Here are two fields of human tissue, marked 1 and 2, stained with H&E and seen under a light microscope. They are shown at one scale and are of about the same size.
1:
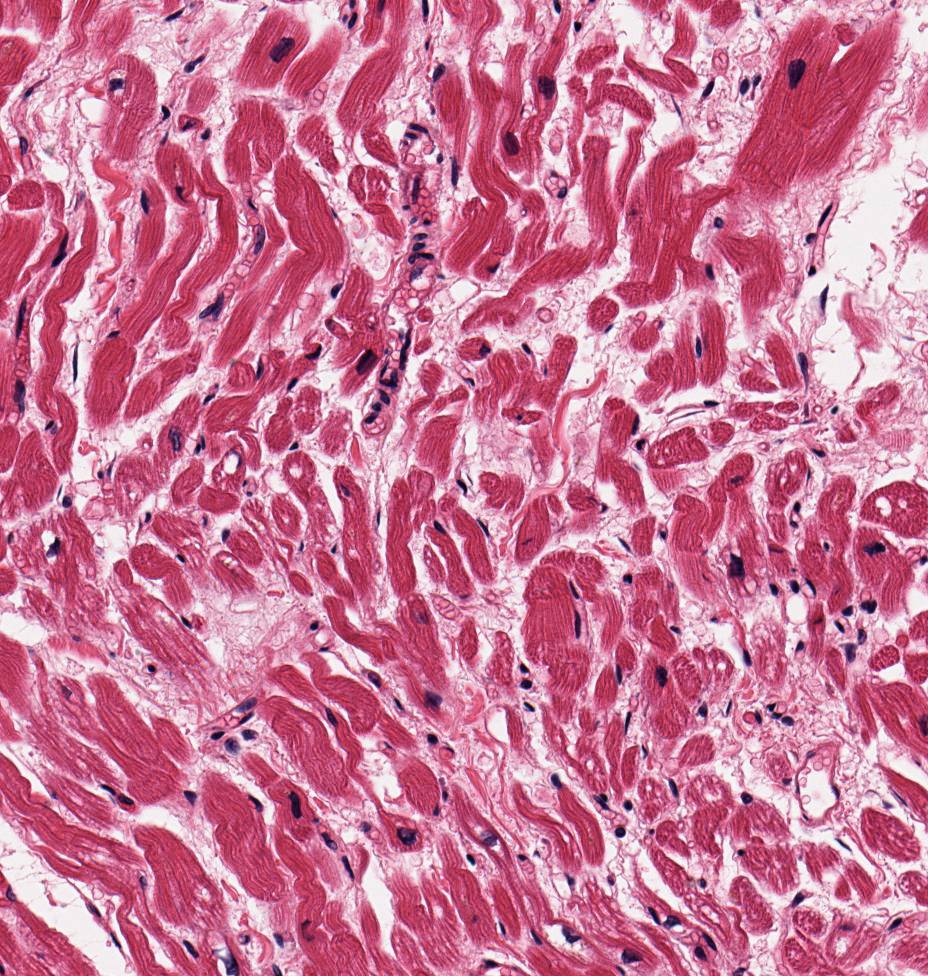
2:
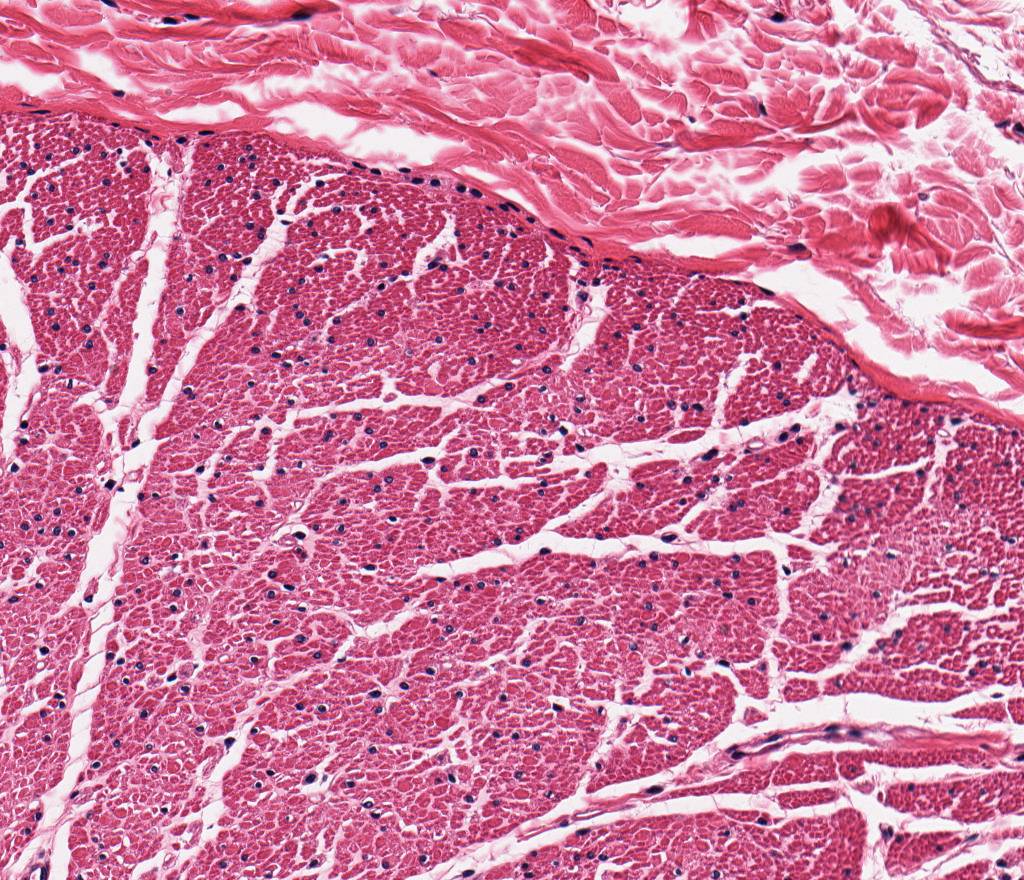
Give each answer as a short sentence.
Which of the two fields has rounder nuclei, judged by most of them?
Rounder nuclei lie in picture 2.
